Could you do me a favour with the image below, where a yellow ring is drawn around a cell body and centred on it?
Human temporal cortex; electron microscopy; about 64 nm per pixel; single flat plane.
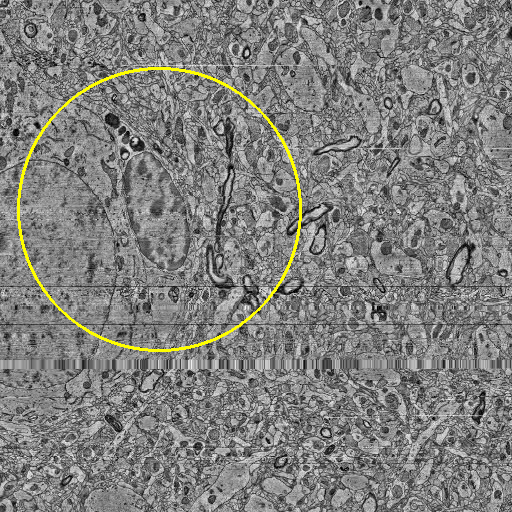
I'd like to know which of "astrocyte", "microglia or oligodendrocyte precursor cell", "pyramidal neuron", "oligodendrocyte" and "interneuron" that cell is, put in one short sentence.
The cell at the ring's centre is a microglial cell or oligodendrocyte precursor cell.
